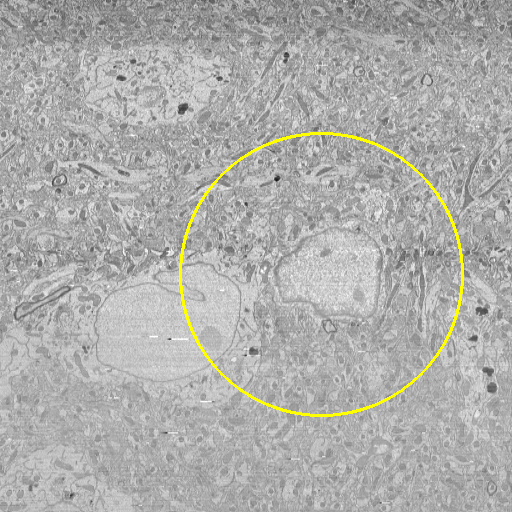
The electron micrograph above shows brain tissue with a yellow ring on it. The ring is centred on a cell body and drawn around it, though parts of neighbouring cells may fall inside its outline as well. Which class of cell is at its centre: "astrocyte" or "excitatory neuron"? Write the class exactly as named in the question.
astrocyte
